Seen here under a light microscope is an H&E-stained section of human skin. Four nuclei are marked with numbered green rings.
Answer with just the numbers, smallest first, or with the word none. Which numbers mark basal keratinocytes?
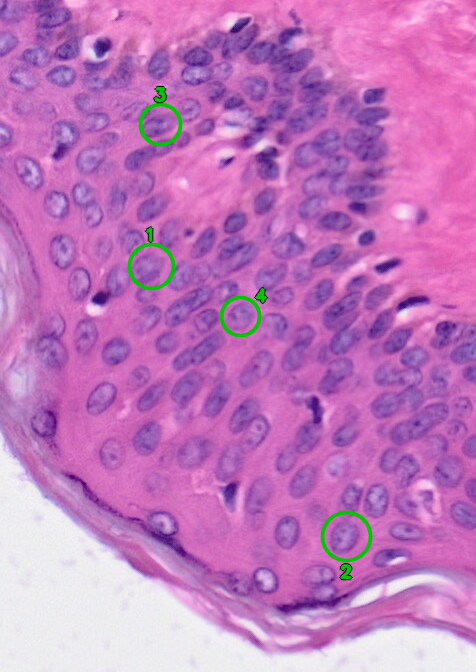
3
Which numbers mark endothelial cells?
none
